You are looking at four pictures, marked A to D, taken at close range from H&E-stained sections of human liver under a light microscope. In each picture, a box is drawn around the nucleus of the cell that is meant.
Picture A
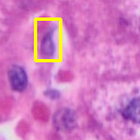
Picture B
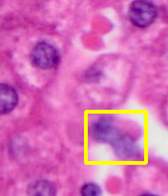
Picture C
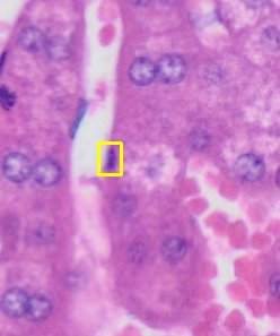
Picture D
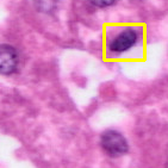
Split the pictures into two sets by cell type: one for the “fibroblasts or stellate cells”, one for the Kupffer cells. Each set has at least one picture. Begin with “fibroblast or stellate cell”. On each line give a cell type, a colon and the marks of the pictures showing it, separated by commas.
fibroblast or stellate cell: C, D
Kupffer cell: A, B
